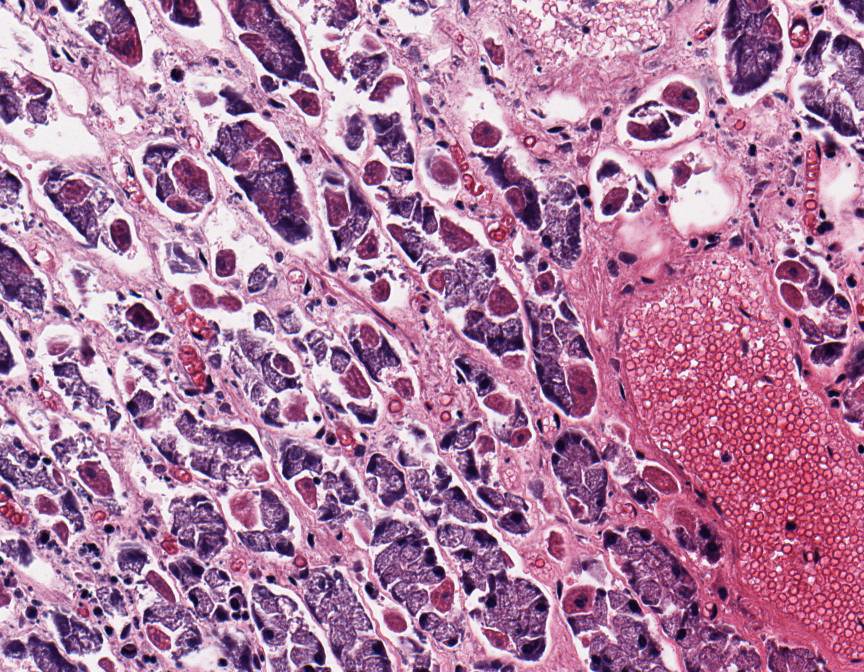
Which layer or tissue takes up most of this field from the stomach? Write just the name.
fundic glands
